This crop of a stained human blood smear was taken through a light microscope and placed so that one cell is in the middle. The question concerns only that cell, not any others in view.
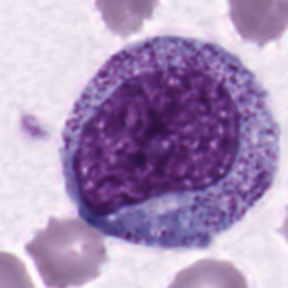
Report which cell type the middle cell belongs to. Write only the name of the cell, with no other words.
promyelocyte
